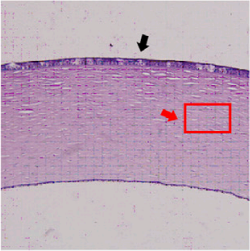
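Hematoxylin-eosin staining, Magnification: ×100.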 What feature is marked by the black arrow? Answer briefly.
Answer: Epithelial layer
